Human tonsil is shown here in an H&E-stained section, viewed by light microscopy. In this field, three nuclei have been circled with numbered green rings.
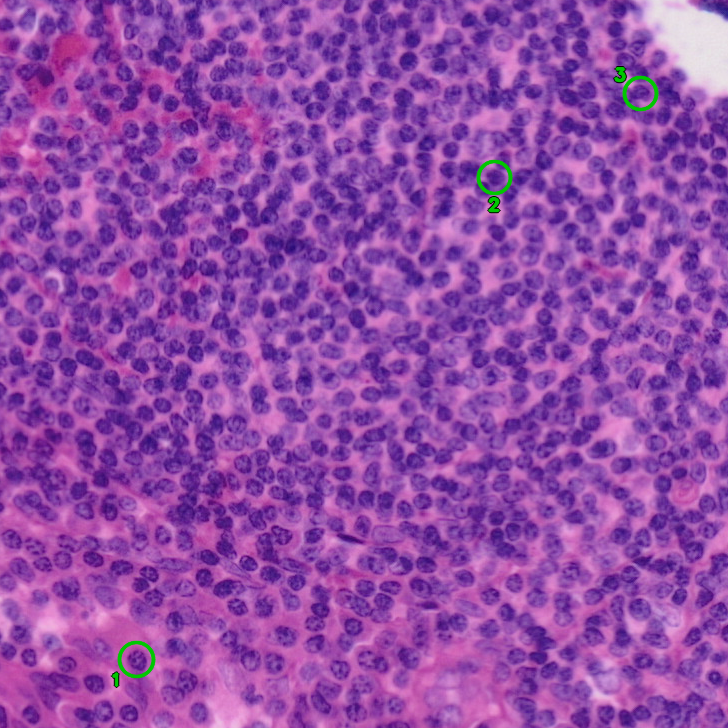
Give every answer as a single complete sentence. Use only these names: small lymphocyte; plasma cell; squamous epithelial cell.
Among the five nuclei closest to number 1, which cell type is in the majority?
Of the five nuclei nearest to number 1, most belong to squamous epithelial cells.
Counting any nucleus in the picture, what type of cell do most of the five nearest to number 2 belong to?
Around number 2, most of the five nearest nuclei are those of small lymphocytes.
